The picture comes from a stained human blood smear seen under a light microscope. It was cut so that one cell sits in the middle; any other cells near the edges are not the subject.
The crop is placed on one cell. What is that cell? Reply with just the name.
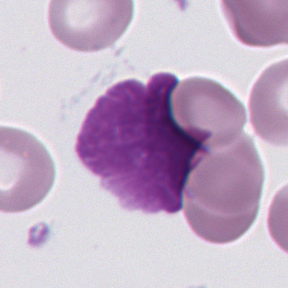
smudge cell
